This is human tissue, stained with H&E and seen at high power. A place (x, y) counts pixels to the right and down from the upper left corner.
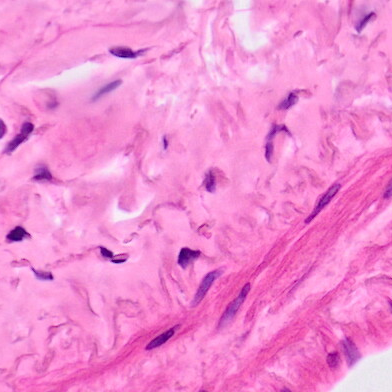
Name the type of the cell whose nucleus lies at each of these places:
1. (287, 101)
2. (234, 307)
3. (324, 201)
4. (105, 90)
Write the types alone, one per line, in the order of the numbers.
fibroblast
smooth muscle cell or pericyte
smooth muscle cell or pericyte
fibroblast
